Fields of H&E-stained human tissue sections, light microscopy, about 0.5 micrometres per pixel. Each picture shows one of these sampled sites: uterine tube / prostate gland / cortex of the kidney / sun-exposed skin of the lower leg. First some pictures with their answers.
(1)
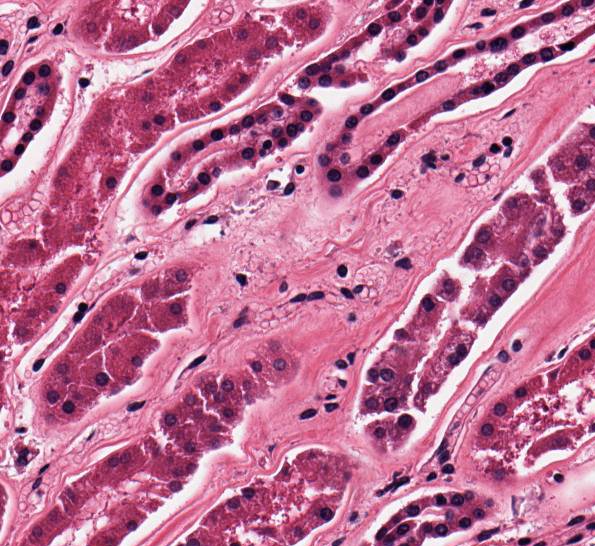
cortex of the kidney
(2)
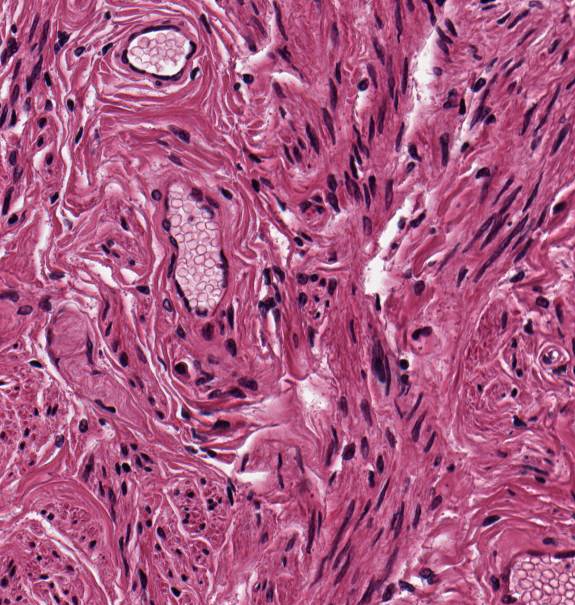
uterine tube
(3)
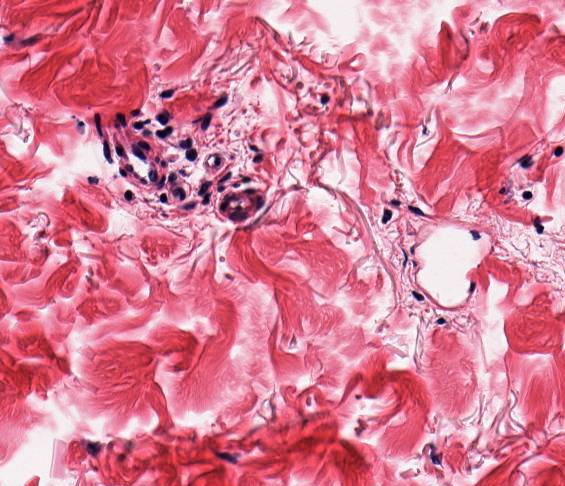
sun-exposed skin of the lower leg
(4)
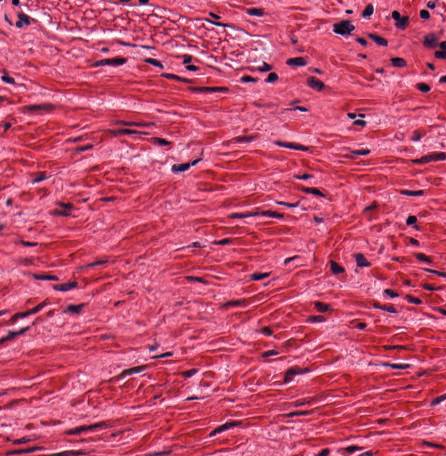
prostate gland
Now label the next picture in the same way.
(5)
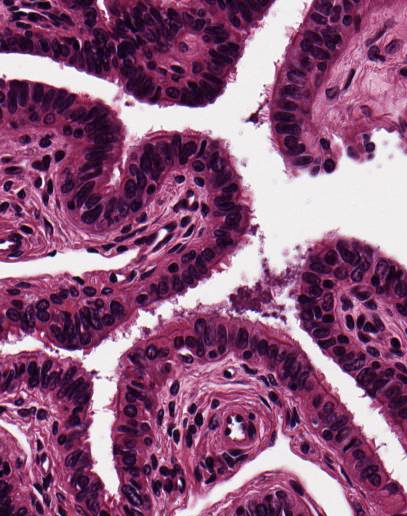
uterine tube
